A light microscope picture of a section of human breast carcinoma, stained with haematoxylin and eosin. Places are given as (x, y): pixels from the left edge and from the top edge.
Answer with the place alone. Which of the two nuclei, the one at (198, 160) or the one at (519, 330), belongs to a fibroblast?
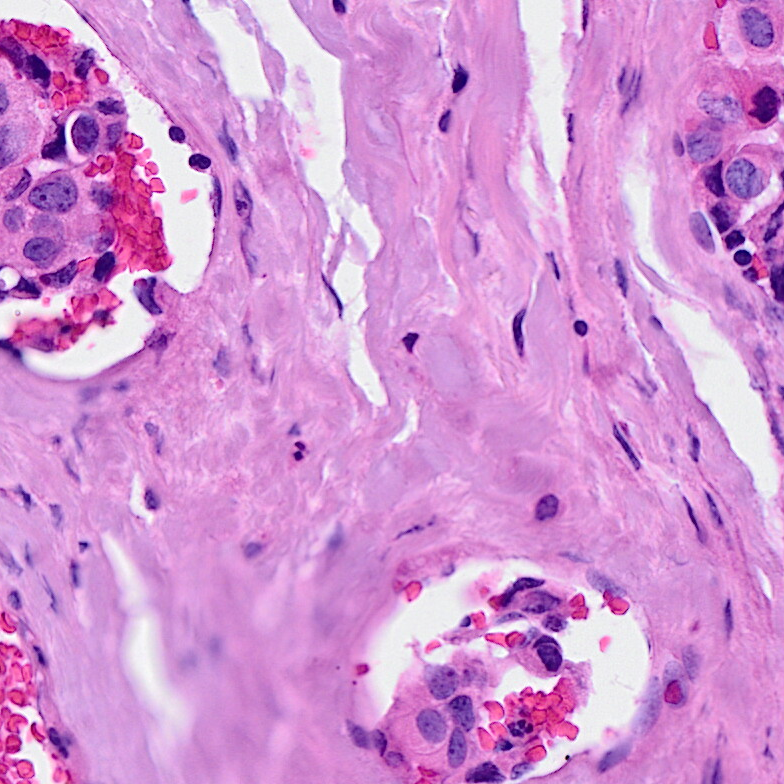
(519, 330)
